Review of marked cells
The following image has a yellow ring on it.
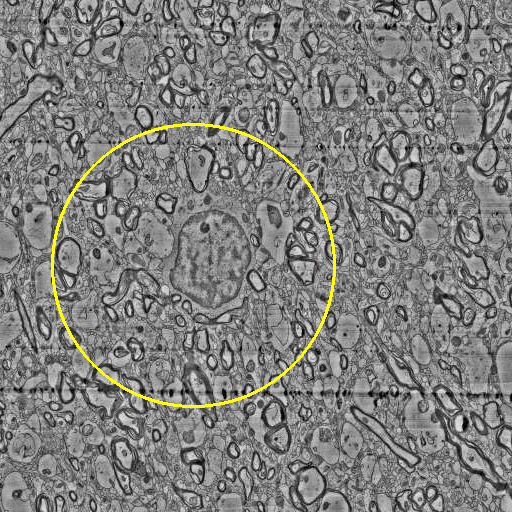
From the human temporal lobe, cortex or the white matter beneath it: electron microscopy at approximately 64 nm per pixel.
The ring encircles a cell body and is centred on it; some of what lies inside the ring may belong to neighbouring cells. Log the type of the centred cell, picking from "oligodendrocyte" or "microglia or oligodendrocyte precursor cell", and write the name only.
oligodendrocyte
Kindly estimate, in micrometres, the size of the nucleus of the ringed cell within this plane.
About 6 by 5 micrometers, in this plane.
